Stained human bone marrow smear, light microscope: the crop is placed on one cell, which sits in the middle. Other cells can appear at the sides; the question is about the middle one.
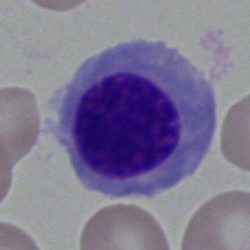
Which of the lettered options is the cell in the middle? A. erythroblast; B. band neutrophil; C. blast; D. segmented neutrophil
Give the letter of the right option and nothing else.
A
